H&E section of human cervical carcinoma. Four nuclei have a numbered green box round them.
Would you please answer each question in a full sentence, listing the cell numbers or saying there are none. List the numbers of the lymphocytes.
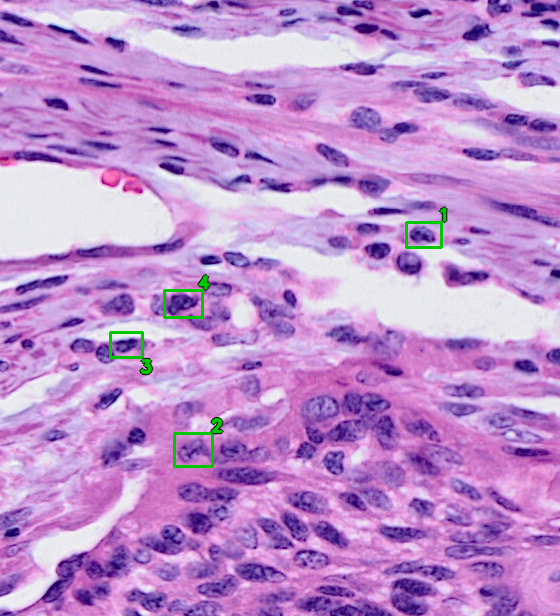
In short, the numbered cells 1, 3 and 4 are lymphocytes.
